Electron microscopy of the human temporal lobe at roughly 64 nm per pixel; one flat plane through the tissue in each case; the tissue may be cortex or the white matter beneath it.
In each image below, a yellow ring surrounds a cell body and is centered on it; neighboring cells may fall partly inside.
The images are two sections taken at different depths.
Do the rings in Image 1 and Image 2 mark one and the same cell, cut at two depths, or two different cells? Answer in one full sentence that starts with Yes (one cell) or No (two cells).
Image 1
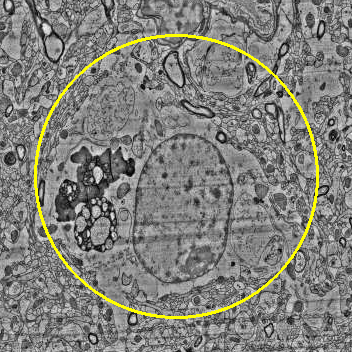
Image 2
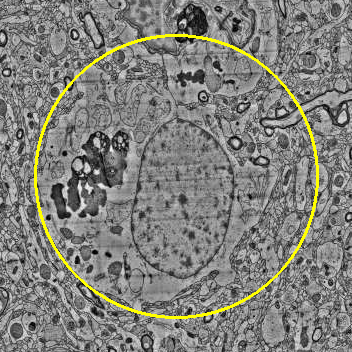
Yes, both rings are placed on a single cell.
